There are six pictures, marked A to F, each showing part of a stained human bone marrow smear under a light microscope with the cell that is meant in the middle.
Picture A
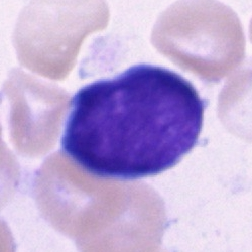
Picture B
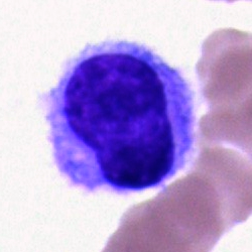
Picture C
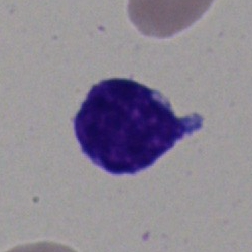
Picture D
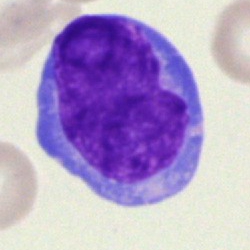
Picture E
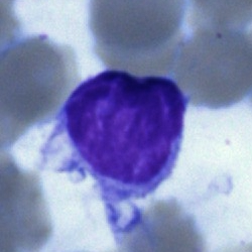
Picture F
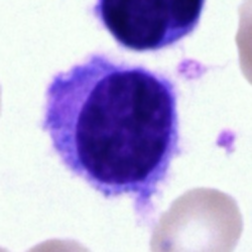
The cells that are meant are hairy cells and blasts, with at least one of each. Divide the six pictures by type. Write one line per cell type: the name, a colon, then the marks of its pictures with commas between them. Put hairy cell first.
hairy cell: B, E, F
blast: A, C, D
